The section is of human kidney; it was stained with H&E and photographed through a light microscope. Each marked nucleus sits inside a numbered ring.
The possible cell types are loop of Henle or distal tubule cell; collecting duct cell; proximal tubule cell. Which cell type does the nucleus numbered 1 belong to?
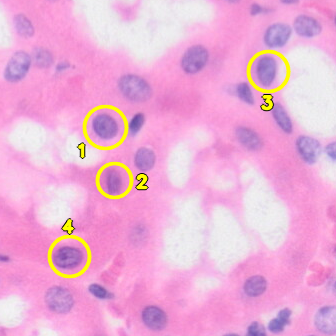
proximal tubule cell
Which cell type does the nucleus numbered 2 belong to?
proximal tubule cell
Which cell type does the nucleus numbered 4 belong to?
proximal tubule cell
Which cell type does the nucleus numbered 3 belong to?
collecting duct cell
